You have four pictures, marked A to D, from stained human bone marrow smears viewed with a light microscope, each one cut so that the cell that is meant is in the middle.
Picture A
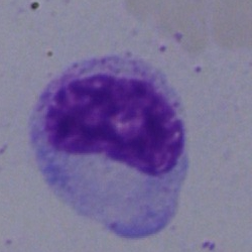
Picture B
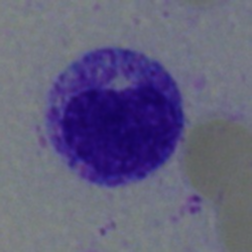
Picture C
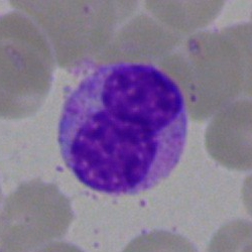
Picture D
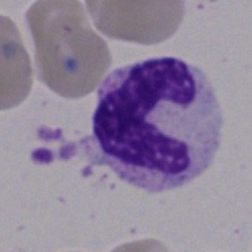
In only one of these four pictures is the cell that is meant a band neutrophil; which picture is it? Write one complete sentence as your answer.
The band neutrophil is the one in picture D.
